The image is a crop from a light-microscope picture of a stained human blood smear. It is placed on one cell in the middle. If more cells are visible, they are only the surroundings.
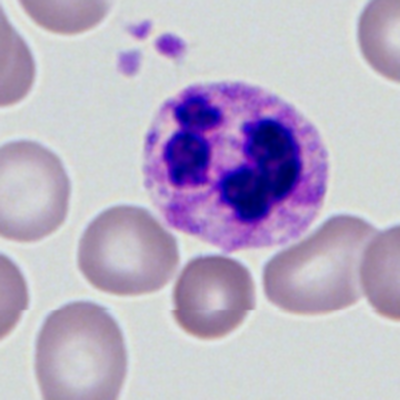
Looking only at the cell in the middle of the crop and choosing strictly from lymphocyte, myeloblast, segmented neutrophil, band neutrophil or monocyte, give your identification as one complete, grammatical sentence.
At the crop's centre, the cell is a segmented neutrophil.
